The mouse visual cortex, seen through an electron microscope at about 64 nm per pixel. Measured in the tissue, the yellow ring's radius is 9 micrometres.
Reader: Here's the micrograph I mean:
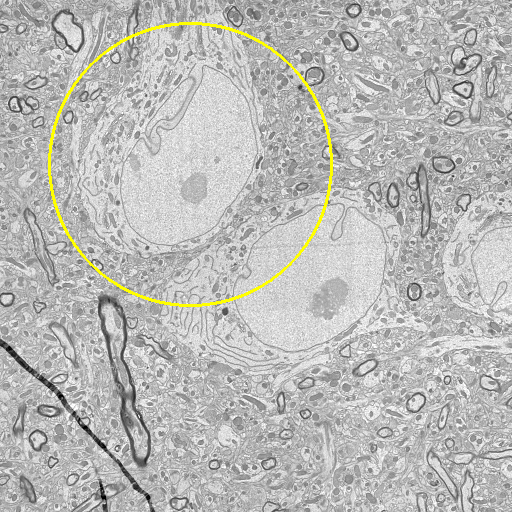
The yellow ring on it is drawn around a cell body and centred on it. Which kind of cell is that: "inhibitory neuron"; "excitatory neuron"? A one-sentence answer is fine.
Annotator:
The ring is centred on an excitatory neuron.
